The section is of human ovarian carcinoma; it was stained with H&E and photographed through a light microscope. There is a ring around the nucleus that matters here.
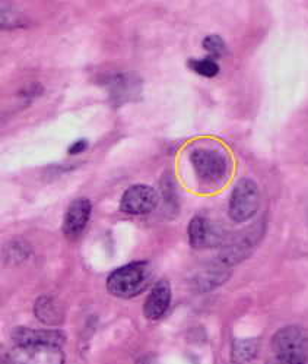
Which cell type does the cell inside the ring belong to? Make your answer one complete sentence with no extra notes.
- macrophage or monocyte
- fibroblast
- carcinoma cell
In this section, the cell inside the ring is a macrophage or monocyte.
